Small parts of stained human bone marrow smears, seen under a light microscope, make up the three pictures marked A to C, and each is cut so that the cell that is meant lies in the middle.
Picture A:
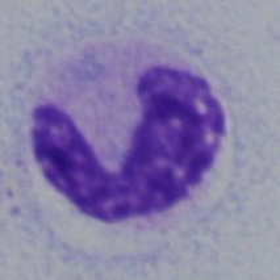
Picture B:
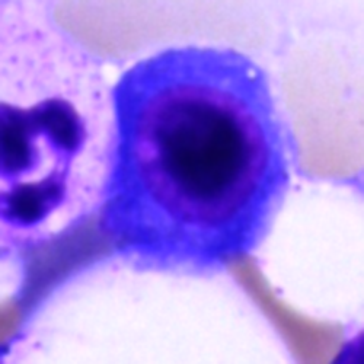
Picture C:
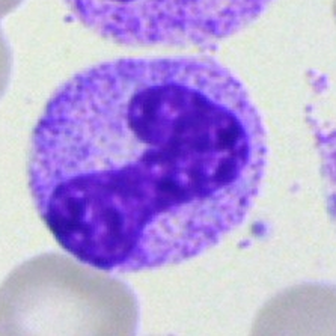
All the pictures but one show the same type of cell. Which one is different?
B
